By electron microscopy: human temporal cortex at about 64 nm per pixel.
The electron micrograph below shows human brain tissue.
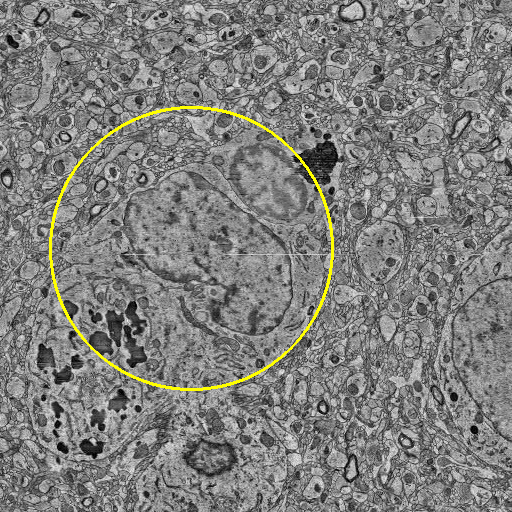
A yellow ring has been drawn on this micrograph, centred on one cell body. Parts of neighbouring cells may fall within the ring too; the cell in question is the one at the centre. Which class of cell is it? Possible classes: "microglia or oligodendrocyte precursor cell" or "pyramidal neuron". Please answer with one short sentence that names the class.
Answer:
In the centre of the ring sits a microglial cell or oligodendrocyte precursor cell.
